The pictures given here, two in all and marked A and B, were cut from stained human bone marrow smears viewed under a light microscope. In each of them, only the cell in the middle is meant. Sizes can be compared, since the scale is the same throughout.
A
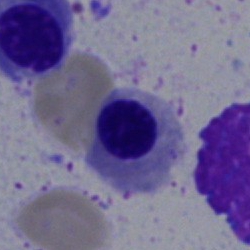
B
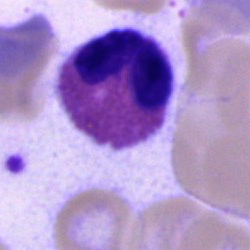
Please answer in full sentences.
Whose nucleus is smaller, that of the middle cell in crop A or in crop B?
Crop A shows the smaller nucleus, since that in crop B covers about 1.5 times as much area.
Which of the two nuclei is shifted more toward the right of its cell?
The nucleus in crop B lies further toward the right of its cell.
